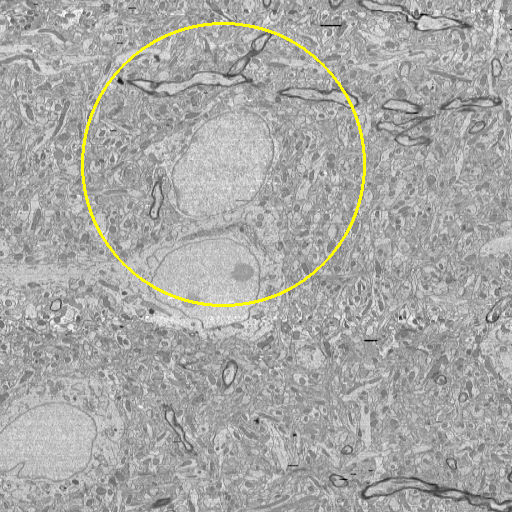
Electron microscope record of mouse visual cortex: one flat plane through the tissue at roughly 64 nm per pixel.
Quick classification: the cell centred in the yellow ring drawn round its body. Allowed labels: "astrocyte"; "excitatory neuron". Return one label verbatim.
astrocyte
